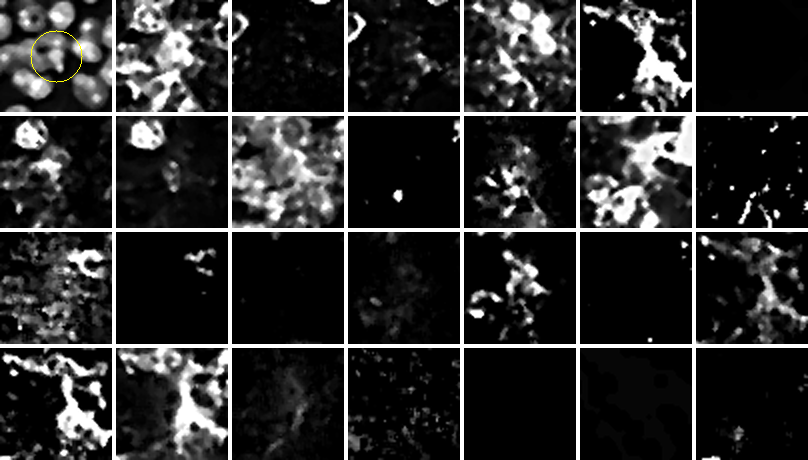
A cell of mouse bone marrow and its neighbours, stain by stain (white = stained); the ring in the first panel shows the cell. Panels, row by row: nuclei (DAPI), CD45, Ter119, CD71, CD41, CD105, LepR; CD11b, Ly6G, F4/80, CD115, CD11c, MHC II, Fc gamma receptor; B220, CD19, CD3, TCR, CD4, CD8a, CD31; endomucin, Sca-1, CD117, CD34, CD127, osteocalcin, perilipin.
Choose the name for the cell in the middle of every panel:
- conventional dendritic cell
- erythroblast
conventional dendritic cell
